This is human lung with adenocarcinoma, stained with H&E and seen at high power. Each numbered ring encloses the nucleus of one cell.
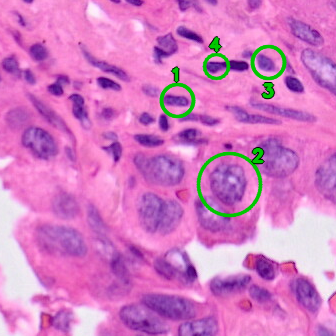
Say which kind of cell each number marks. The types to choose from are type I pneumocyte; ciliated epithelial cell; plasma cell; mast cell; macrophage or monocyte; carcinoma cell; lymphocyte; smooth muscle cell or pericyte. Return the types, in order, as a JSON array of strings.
["lymphocyte", "carcinoma cell", "lymphocyte", "lymphocyte"]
